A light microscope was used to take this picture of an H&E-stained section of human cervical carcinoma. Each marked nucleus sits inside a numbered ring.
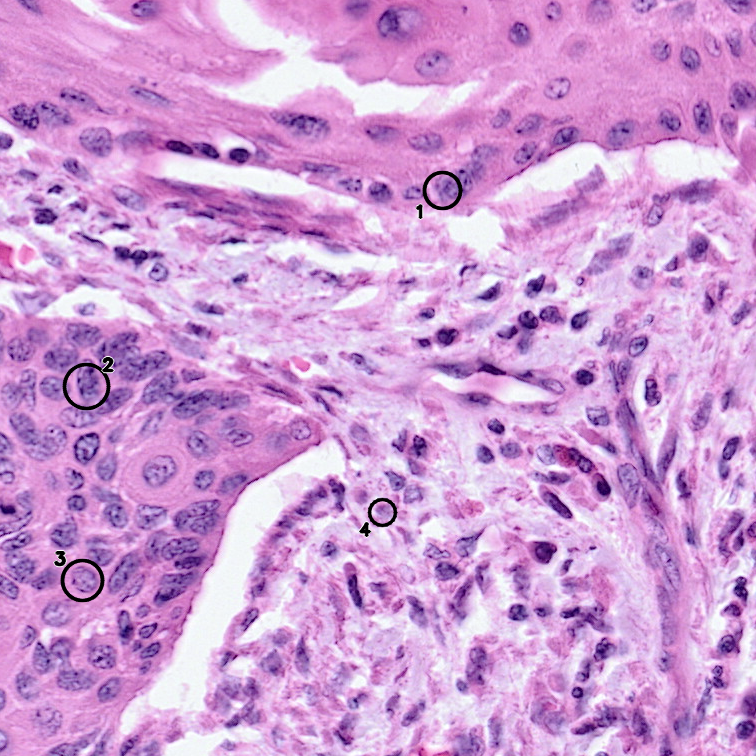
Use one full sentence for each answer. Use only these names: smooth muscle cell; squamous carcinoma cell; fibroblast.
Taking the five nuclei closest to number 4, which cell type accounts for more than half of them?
Around number 4, most of the five nearest nuclei are those of fibroblasts.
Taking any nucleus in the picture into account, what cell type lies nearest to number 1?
The cell nearest to number 1 is a squamous carcinoma cell.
